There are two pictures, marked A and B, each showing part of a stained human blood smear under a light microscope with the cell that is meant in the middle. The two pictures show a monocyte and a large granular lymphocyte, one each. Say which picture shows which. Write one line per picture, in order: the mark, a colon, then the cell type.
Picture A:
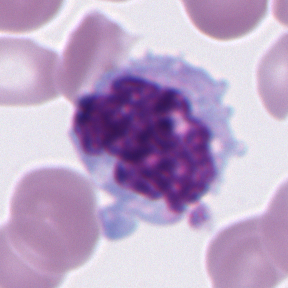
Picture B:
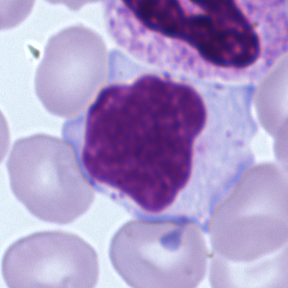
A: monocyte
B: large granular lymphocyte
